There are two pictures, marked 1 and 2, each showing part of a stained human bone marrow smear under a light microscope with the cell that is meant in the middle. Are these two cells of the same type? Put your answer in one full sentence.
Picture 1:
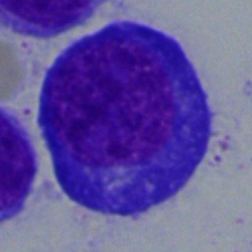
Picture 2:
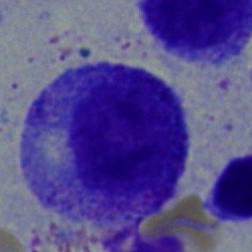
No; the cell in picture 1 is a proerythroblast, while the one in picture 2 is a myelocyte.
